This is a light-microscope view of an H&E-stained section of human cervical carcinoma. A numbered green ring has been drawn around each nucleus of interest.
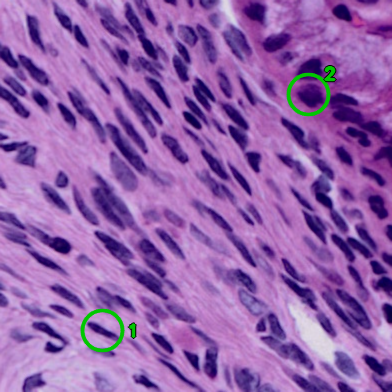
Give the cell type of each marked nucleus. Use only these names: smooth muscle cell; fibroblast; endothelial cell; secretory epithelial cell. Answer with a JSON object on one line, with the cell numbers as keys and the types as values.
{"1": "fibroblast", "2": "secretory epithelial cell"}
